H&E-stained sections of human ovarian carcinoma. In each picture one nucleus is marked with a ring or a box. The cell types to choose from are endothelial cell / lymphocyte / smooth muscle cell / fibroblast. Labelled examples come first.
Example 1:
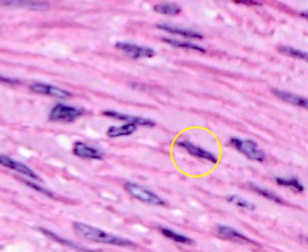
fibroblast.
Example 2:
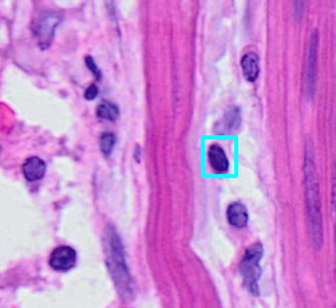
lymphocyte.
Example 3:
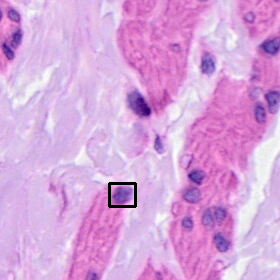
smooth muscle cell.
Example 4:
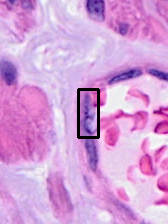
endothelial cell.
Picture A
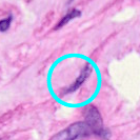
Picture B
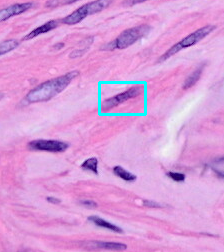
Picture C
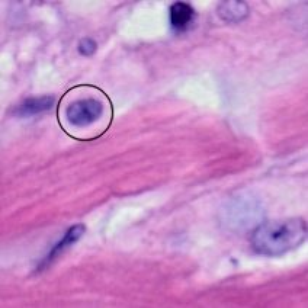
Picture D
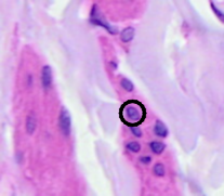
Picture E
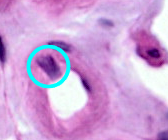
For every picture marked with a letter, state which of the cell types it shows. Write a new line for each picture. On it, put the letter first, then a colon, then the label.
A: fibroblast.
B: smooth muscle cell.
C: lymphocyte.
D: smooth muscle cell.
E: endothelial cell.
